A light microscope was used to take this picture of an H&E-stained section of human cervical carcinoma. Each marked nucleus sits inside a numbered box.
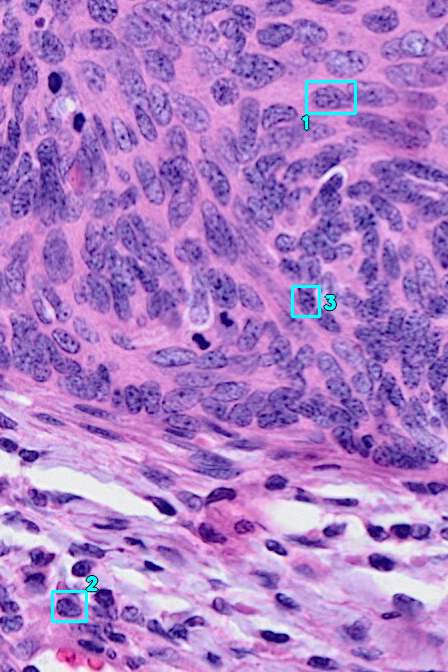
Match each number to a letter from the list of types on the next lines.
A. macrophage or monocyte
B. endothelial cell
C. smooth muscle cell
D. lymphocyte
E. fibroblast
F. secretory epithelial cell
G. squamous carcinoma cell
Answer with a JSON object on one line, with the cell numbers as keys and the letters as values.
{"1": "G", "2": "D", "3": "G"}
